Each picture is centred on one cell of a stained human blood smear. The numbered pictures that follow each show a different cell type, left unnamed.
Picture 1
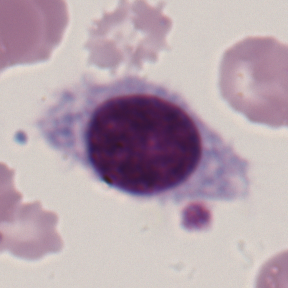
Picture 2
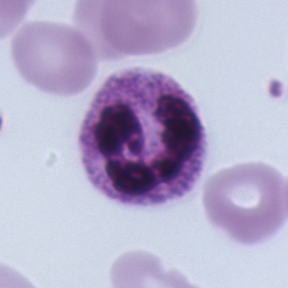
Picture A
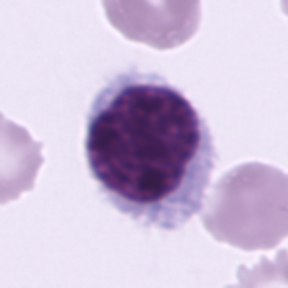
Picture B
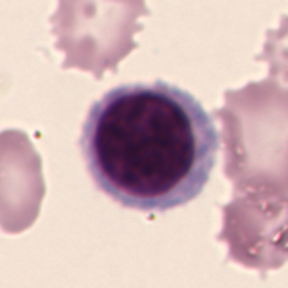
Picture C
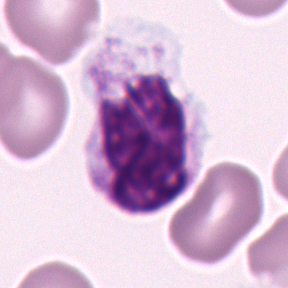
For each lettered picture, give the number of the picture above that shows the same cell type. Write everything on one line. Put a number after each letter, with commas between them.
A 1, B 1, C 2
